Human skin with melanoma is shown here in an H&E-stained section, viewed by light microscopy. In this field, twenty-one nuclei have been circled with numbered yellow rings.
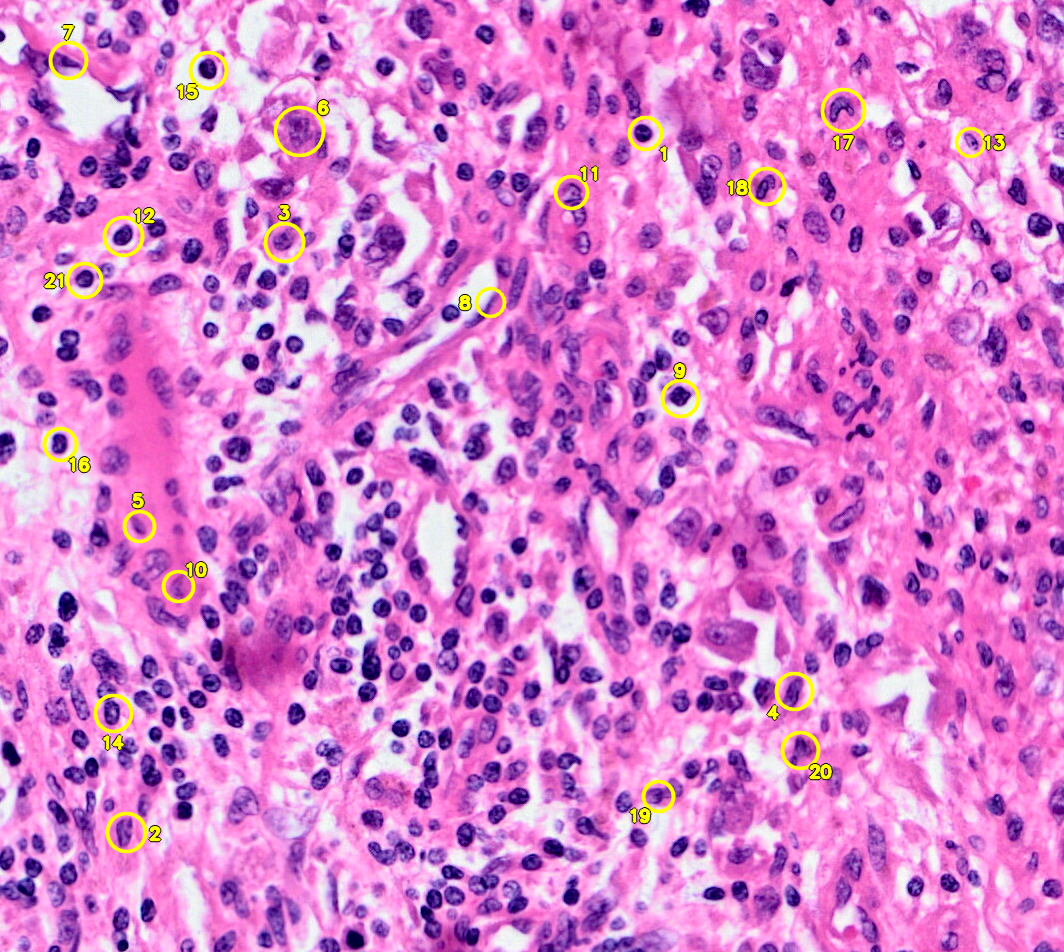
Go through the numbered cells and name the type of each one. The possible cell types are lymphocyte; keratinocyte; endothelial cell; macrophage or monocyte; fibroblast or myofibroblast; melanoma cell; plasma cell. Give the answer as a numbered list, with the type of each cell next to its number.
1. lymphocyte
2. macrophage or monocyte
3. macrophage or monocyte
4. macrophage or monocyte
5. endothelial cell
6. melanoma cell
7. endothelial cell
8. endothelial cell
9. lymphocyte
10. endothelial cell
11. endothelial cell
12. lymphocyte
13. macrophage or monocyte
14. lymphocyte
15. lymphocyte
16. lymphocyte
17. macrophage or monocyte
18. macrophage or monocyte
19. macrophage or monocyte
20. macrophage or monocyte
21. lymphocyte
